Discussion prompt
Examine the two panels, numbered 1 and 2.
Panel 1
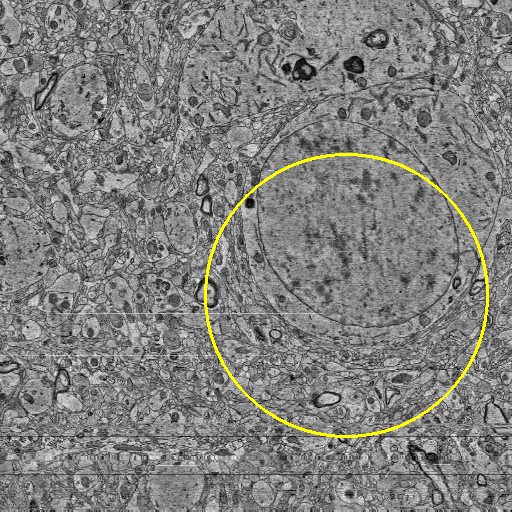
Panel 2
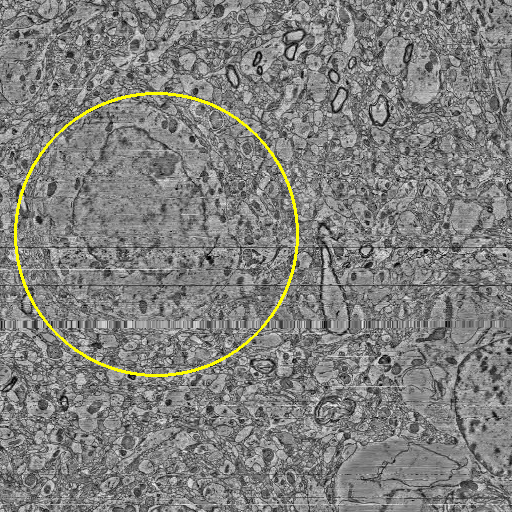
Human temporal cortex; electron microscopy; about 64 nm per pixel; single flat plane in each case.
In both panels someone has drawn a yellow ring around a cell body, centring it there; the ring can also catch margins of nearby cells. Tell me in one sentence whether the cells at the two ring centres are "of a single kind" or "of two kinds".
Taken together, the two cells centred in the rings of Panels 1 and 2 are of a single kind.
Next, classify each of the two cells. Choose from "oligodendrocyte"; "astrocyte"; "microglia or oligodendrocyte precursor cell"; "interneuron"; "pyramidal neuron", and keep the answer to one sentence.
Both pictures show a pyramidal neuron at the centre of the ring.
